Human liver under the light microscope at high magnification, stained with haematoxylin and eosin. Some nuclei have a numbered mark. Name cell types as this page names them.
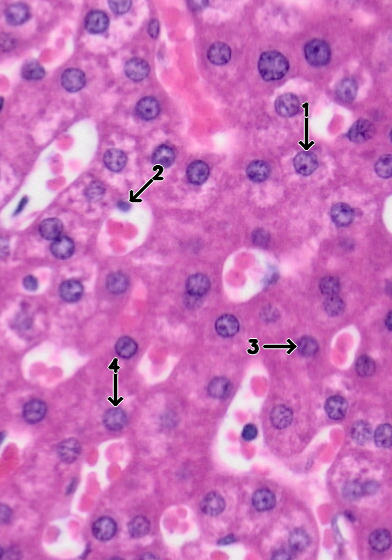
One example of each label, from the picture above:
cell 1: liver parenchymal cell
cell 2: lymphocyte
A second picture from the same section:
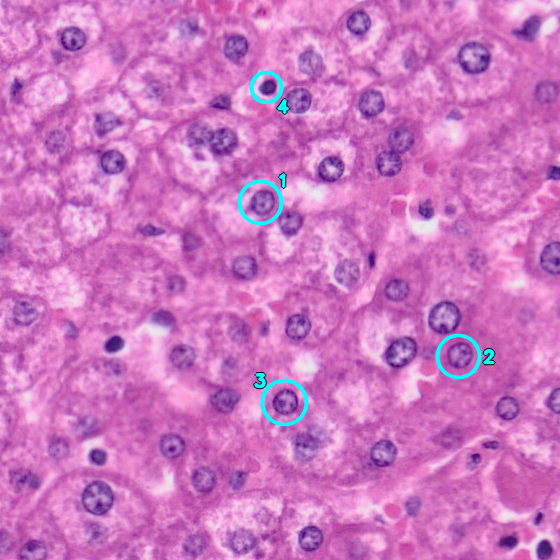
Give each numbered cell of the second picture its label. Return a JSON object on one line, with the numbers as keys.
{"1": "liver parenchymal cell", "2": "liver parenchymal cell", "3": "liver parenchymal cell", "4": "lymphocyte"}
